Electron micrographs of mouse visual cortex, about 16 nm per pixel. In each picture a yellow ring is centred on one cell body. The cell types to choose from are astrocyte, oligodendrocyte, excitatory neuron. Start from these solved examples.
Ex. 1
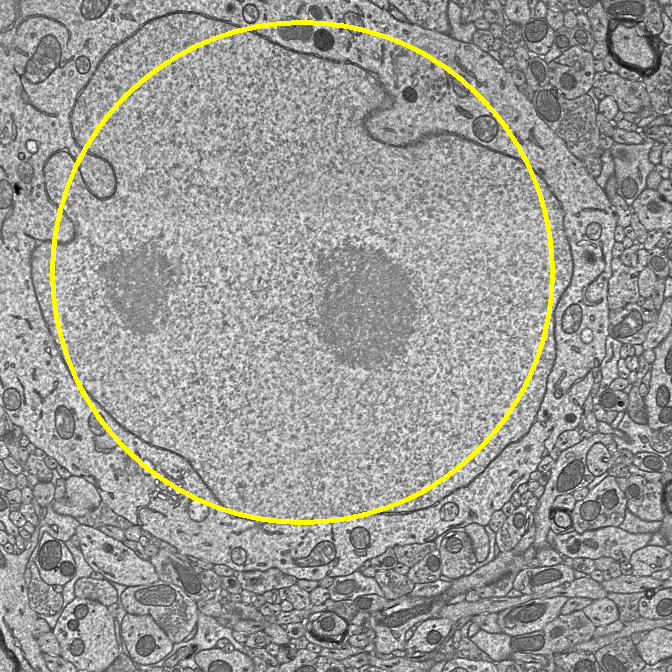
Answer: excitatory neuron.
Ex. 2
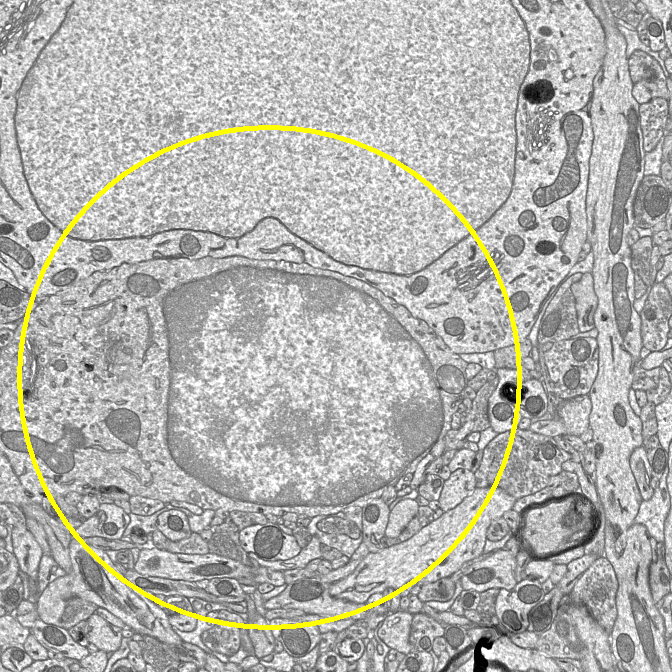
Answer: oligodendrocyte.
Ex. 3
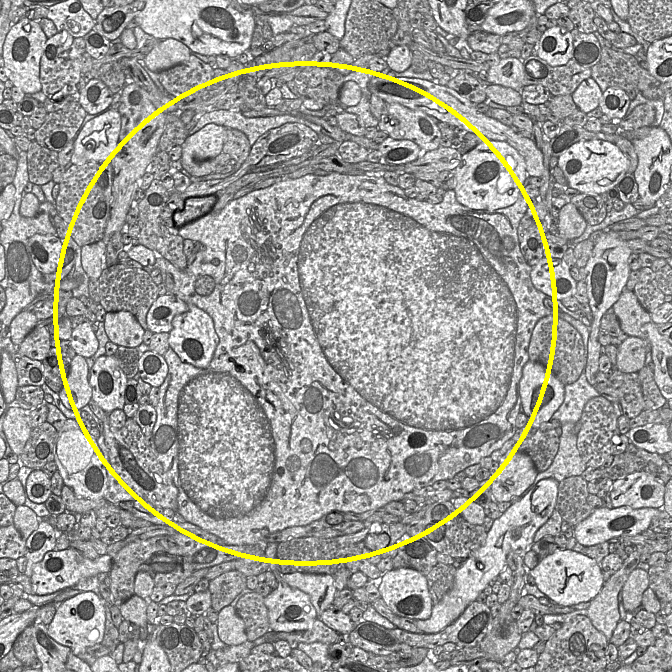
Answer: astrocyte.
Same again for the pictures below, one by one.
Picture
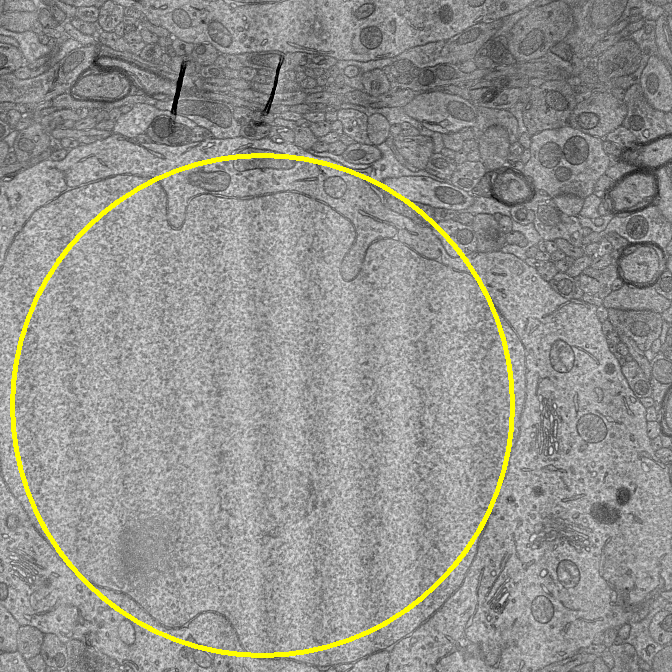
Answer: excitatory neuron.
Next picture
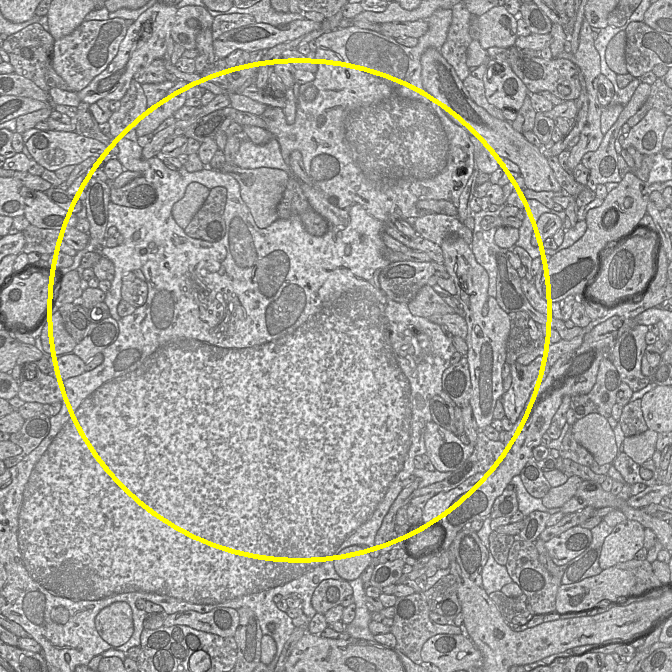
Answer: astrocyte.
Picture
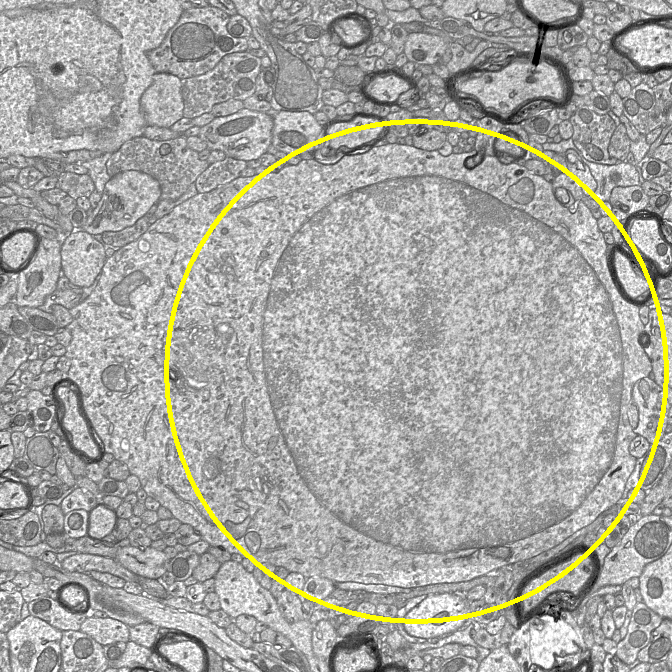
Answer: oligodendrocyte.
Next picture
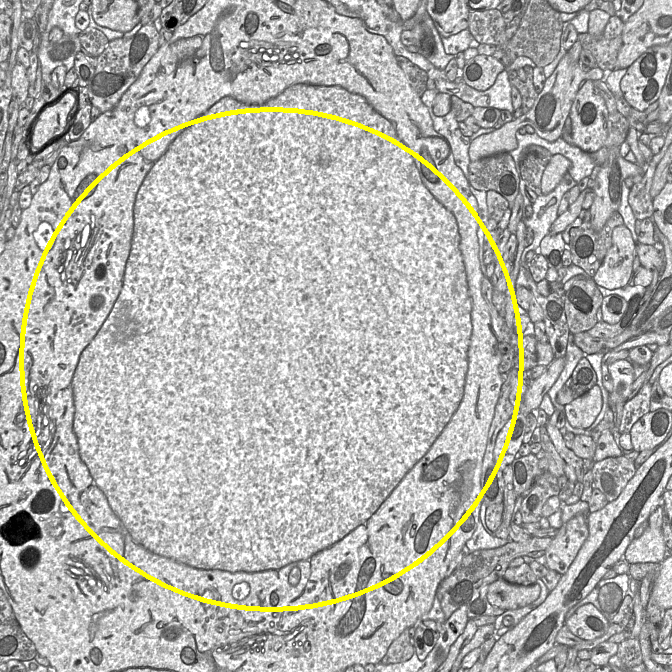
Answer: excitatory neuron.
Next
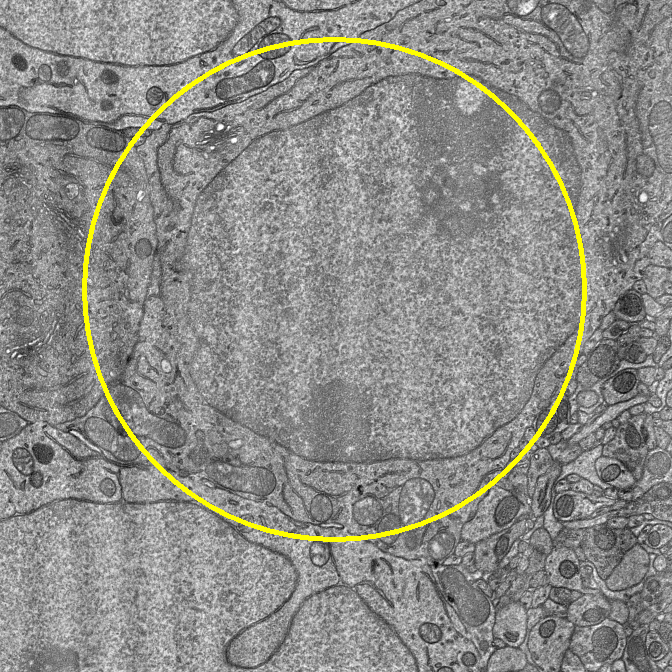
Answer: oligodendrocyte.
